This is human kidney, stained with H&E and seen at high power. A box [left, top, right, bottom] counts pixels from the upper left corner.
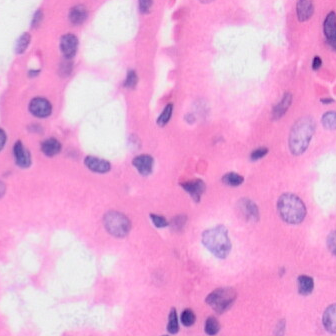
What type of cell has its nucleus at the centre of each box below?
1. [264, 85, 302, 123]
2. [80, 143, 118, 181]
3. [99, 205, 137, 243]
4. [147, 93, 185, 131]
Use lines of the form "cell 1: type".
cell 1: proximal tubule cell
cell 2: loop of Henle or distal tubule cell
cell 3: proximal tubule cell
cell 4: endothelial cell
